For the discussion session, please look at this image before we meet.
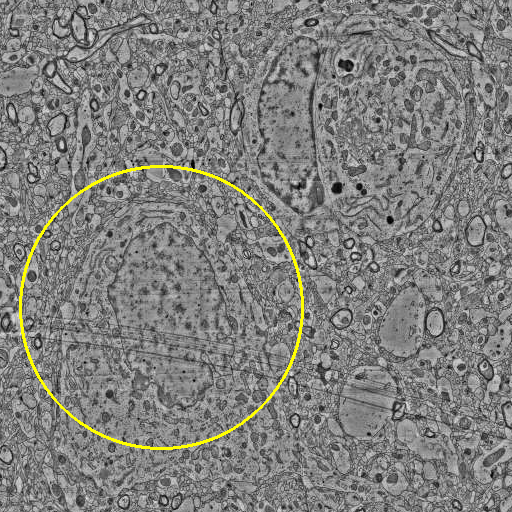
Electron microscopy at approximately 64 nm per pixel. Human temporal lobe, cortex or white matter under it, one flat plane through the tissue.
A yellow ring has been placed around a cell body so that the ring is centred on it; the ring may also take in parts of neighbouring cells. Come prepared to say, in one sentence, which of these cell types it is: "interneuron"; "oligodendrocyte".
The cell centred in the ring is an interneuron.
